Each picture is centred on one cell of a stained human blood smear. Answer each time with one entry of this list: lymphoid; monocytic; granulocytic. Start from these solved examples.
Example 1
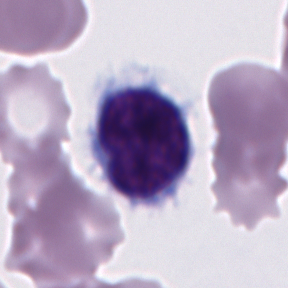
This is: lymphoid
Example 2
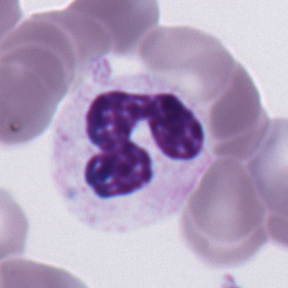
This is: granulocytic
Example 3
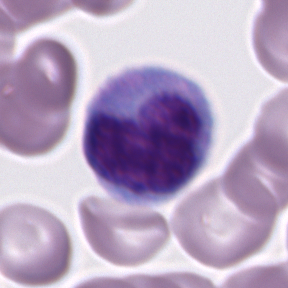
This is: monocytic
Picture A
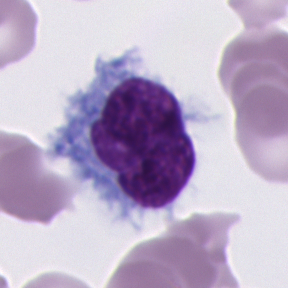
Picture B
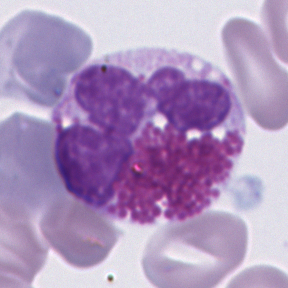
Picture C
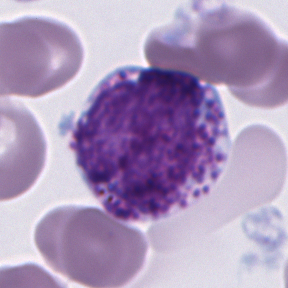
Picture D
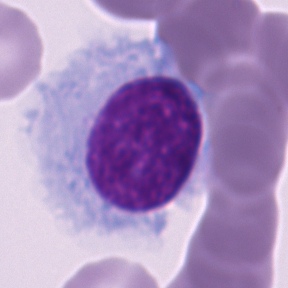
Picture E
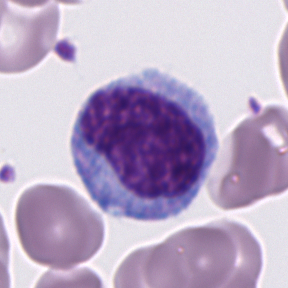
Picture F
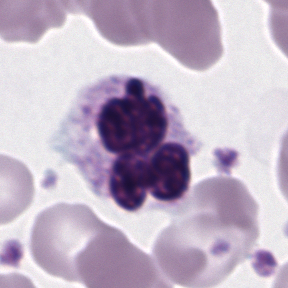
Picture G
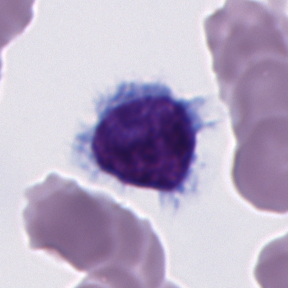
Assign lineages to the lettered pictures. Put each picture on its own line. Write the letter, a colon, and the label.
A: lymphoid
B: granulocytic
C: granulocytic
D: lymphoid
E: monocytic
F: granulocytic
G: lymphoid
